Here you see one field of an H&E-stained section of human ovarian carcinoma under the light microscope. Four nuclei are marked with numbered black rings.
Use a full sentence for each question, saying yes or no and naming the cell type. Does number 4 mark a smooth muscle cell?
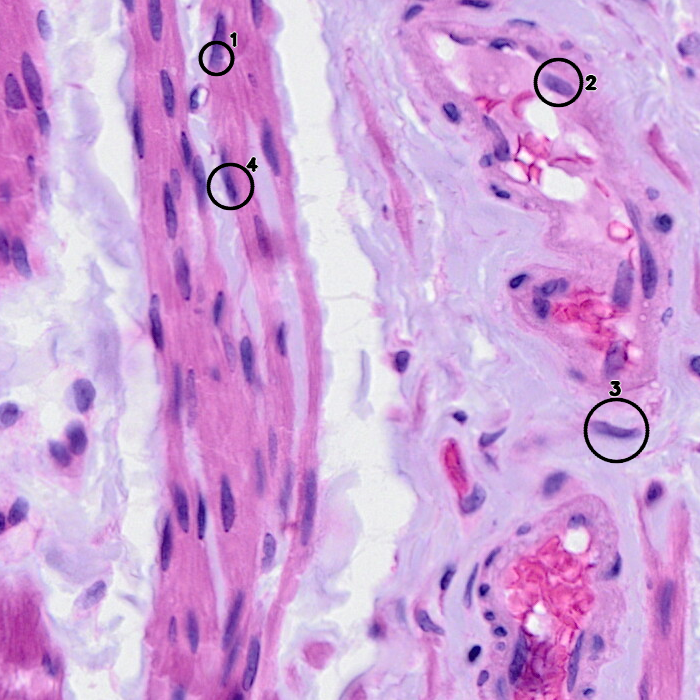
Yes, that is correct: the cell numbered 4 is a smooth muscle cell.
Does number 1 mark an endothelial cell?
No, an endothelial cell is not what cell 1 is; it is a smooth muscle cell.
